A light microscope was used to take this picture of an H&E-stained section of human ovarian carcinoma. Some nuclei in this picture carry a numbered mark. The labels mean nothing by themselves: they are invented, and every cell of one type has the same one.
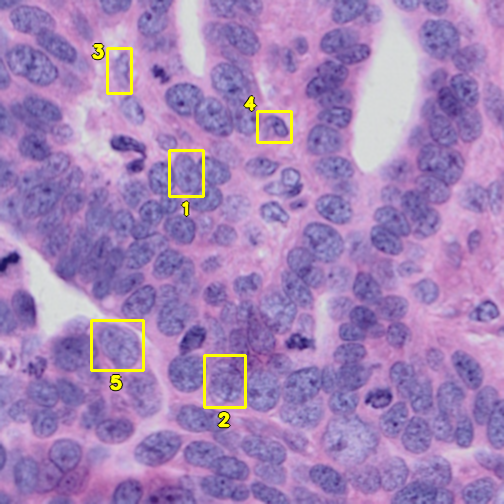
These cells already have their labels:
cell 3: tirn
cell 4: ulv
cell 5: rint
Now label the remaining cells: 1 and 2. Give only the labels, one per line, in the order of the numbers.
rint
rint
